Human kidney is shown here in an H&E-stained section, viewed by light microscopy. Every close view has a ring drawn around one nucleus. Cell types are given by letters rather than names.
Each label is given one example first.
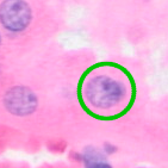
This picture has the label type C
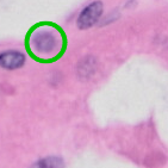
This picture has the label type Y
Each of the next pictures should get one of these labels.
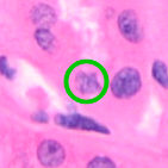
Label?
type Y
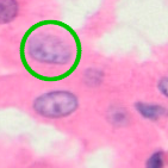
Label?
type C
